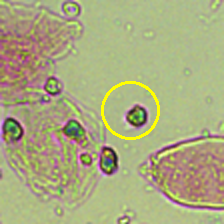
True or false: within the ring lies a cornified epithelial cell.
False: a leukocyte lies within the ring.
